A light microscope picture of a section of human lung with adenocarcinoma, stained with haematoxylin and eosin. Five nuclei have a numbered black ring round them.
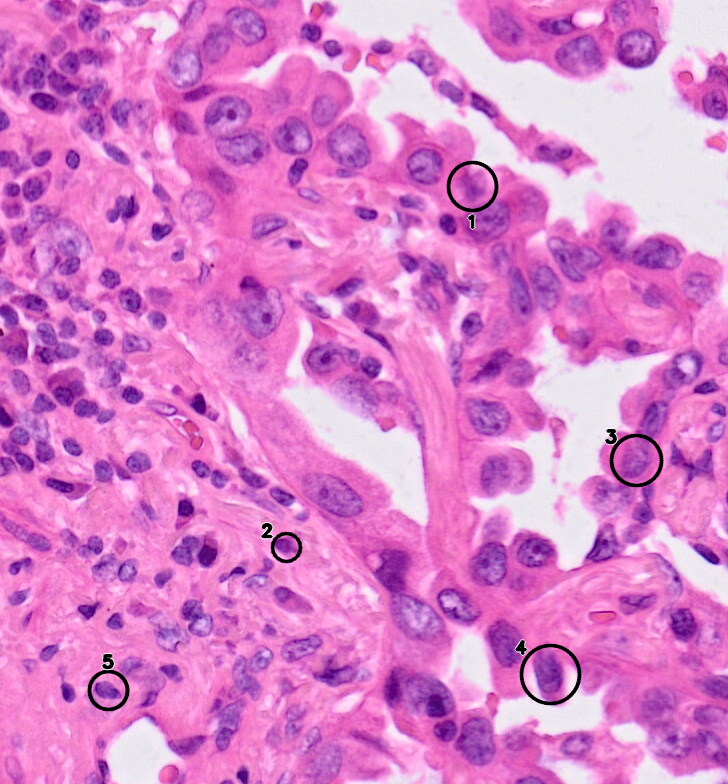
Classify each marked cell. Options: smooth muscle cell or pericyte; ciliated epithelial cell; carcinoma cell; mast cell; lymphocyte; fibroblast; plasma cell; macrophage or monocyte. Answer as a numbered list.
1. carcinoma cell
2. plasma cell
3. carcinoma cell
4. carcinoma cell
5. lymphocyte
